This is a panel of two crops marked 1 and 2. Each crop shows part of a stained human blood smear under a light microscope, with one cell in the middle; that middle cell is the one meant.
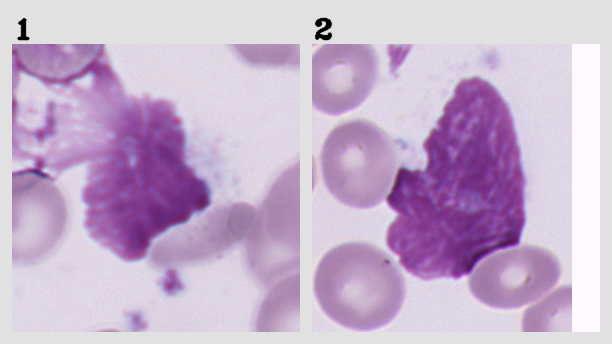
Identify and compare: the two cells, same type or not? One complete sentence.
Yes, the cells placed at the centre of both crops are smudge cells.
